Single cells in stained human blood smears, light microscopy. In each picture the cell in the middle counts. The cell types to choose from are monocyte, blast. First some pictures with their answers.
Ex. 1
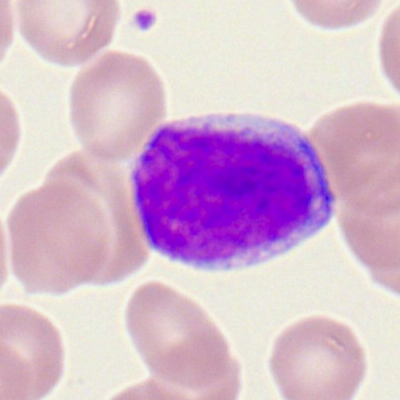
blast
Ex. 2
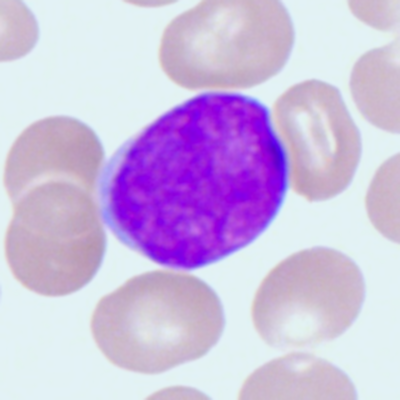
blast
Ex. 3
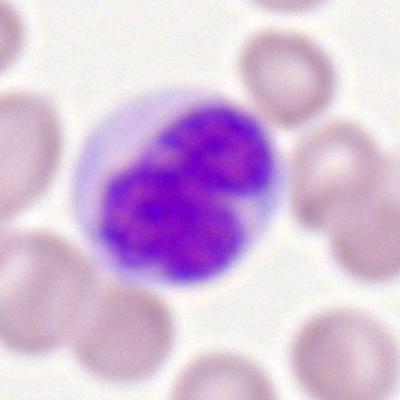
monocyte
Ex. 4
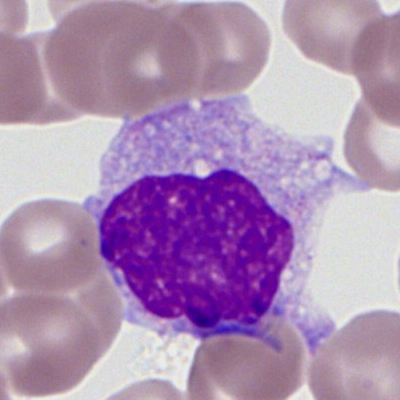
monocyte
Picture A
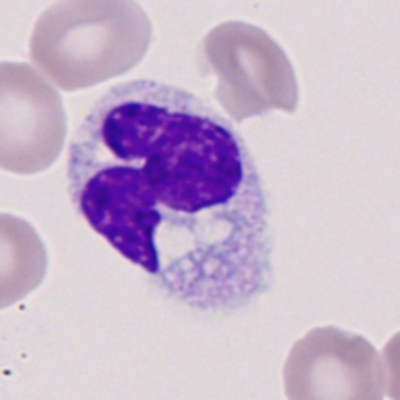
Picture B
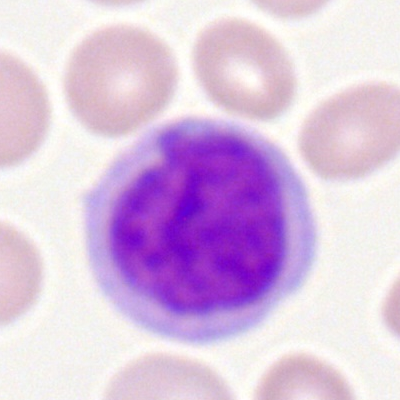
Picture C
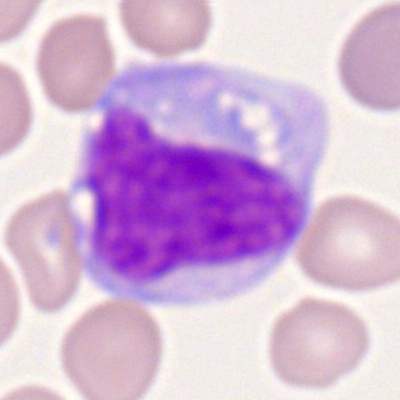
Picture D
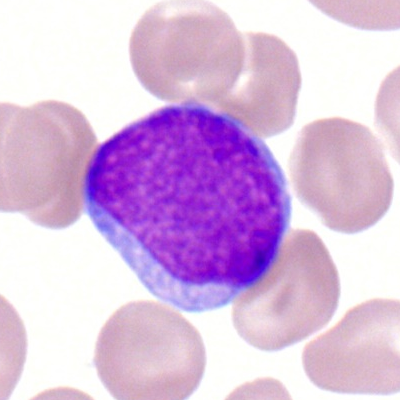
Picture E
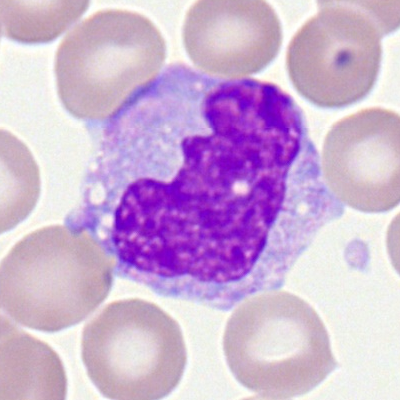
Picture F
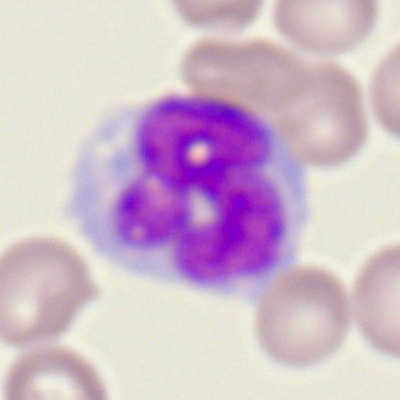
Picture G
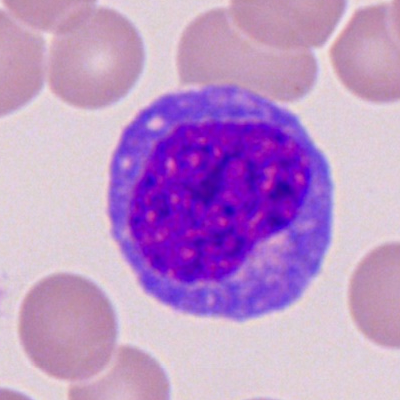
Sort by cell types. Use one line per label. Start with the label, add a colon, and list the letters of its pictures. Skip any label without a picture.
monocyte: A, B, C, E, F, G
blast: D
